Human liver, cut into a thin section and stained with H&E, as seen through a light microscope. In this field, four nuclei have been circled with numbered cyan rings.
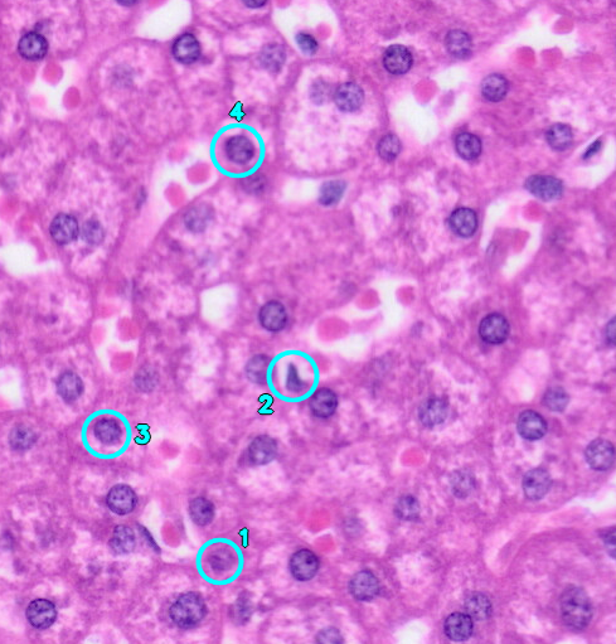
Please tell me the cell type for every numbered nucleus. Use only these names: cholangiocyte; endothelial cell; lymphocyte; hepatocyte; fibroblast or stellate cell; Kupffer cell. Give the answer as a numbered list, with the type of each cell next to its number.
1. hepatocyte
2. endothelial cell
3. hepatocyte
4. hepatocyte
